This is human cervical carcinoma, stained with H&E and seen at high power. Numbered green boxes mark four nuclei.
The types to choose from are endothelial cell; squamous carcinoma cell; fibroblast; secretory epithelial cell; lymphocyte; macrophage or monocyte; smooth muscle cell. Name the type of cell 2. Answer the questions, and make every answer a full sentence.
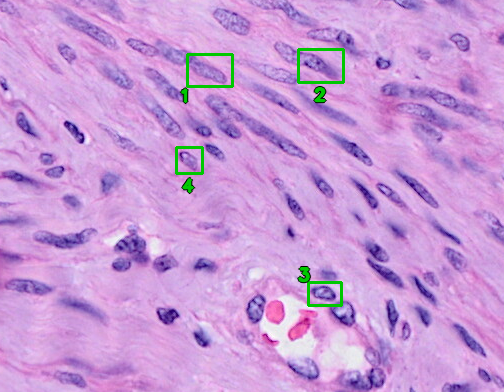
The cell marked with number 2 is a smooth muscle cell.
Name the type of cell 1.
The label 1 in this section denotes a smooth muscle cell.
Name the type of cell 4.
The cell to which the number 4 is assigned is a smooth muscle cell.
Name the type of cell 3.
The correct answer for cell 3 is an endothelial cell.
